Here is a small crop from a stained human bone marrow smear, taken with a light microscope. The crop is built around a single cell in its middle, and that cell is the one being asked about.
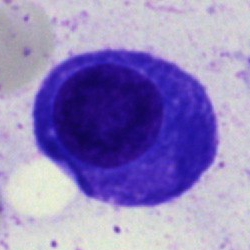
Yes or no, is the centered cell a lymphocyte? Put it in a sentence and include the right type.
No, the cell sitting in the centre of the crop is a plasma cell, not a lymphocyte.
